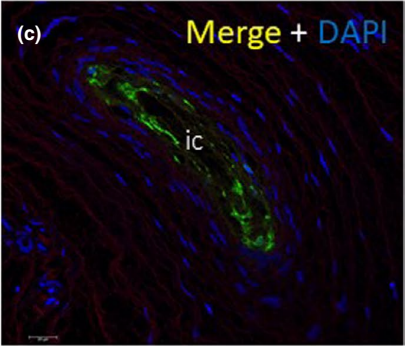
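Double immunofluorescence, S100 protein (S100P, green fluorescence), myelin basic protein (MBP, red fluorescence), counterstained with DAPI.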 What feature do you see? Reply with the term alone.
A: Pacinian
